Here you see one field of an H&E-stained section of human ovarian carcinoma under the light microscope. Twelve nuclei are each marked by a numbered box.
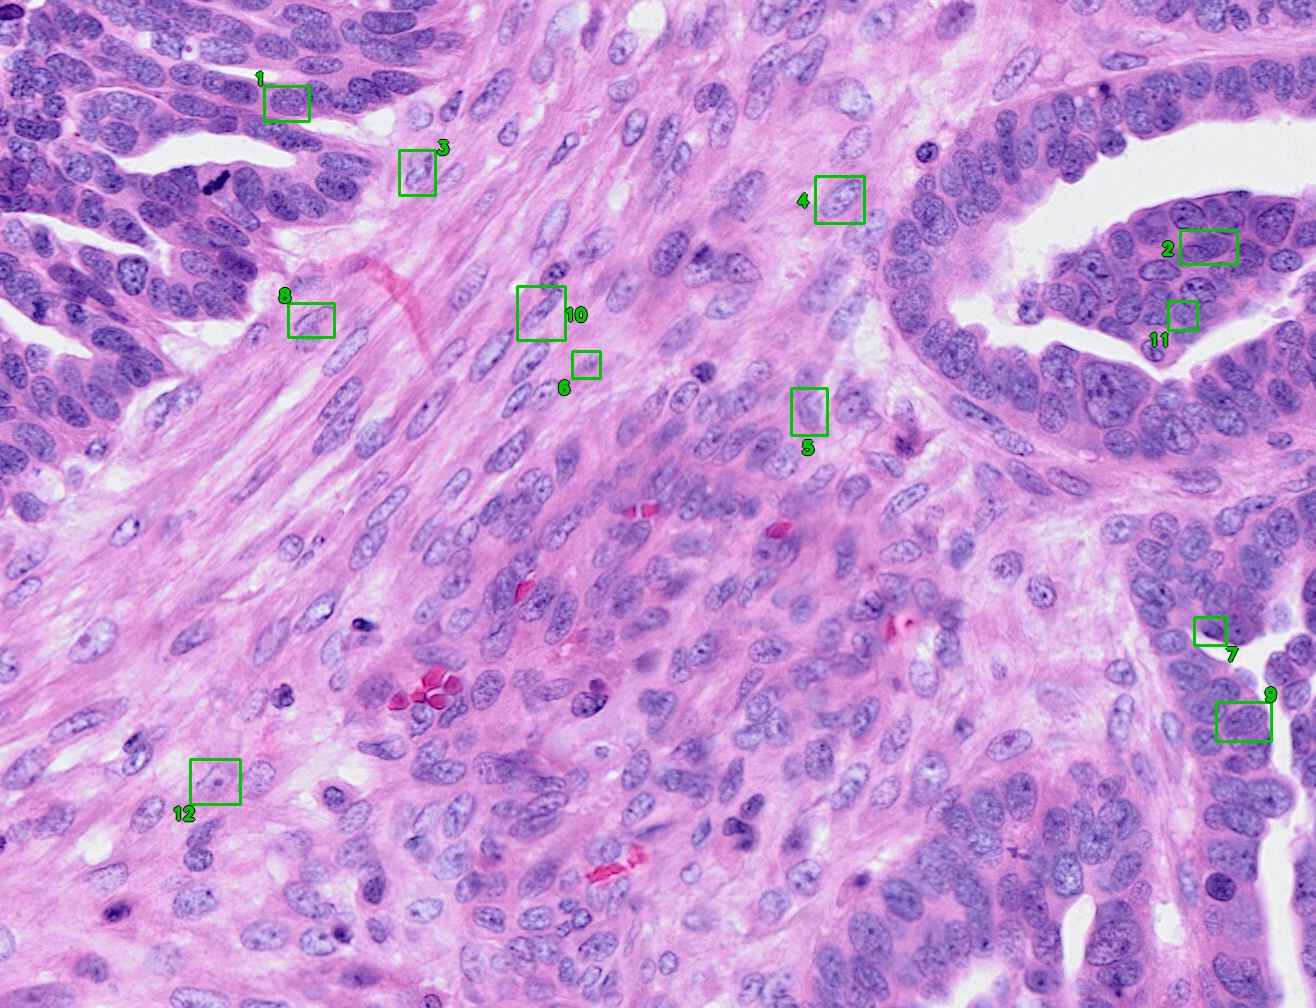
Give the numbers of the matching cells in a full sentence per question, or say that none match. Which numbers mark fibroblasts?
In this section, the cells labelled 3, 4, 5, 6, 8, 10 and 12 are fibroblasts.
